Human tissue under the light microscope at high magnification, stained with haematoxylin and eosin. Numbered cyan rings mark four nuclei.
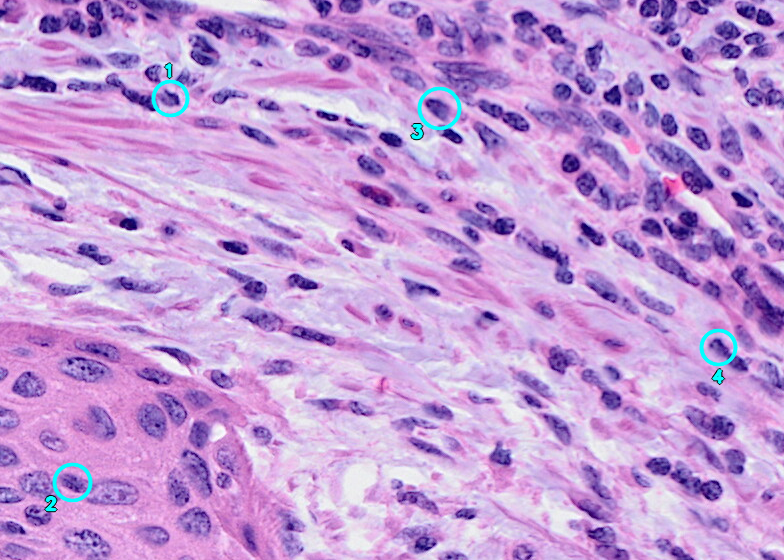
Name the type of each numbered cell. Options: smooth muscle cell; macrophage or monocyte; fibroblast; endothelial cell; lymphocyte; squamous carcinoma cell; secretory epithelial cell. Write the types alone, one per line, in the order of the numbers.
lymphocyte
squamous carcinoma cell
lymphocyte
lymphocyte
